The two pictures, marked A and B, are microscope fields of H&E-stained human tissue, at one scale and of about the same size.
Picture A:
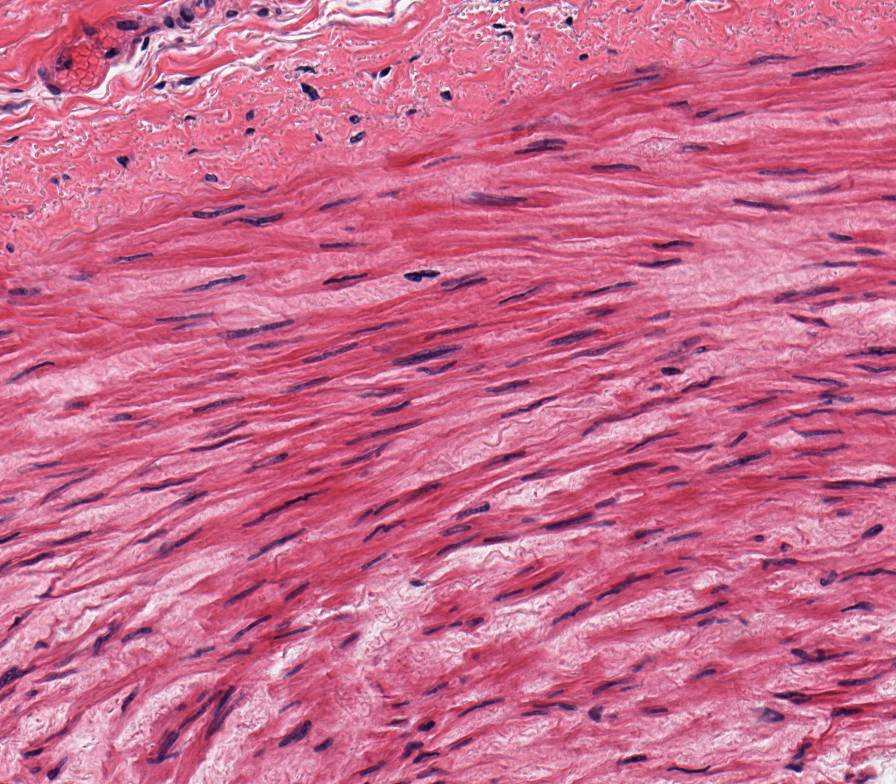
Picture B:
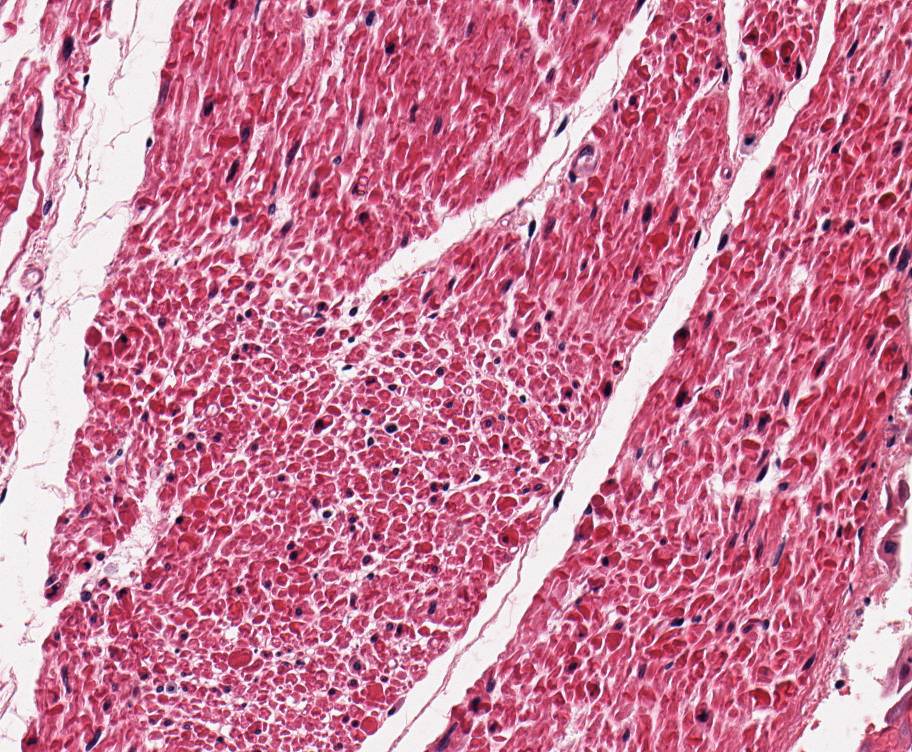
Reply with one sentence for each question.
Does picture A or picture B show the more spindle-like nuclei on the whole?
On the whole the nuclei of picture A are more drawn out than those of picture B.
